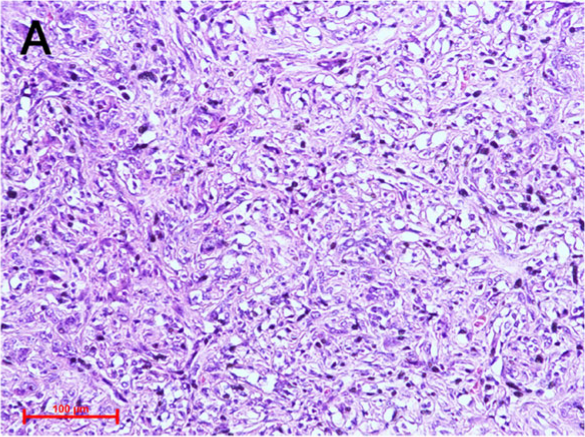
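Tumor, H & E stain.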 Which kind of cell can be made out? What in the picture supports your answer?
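Spindle and epithelioid cells. Many elongated, spindle-shaped cells with tapered nuclei. Interspersed plumper, polygonal cells with rounder nuclei. Cells are densely packed without glandular arrangement.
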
